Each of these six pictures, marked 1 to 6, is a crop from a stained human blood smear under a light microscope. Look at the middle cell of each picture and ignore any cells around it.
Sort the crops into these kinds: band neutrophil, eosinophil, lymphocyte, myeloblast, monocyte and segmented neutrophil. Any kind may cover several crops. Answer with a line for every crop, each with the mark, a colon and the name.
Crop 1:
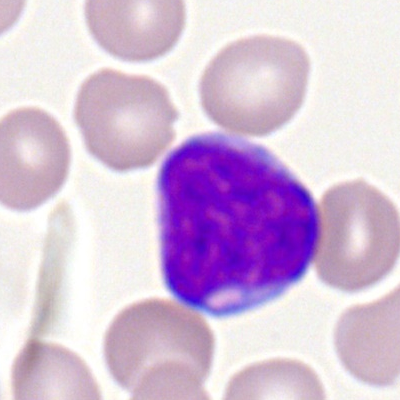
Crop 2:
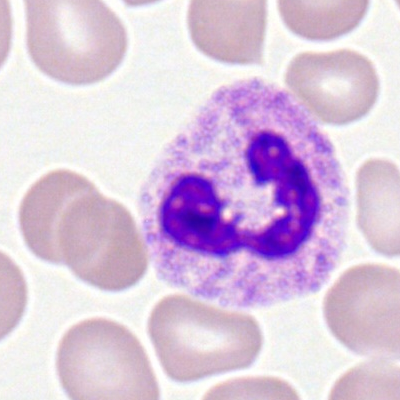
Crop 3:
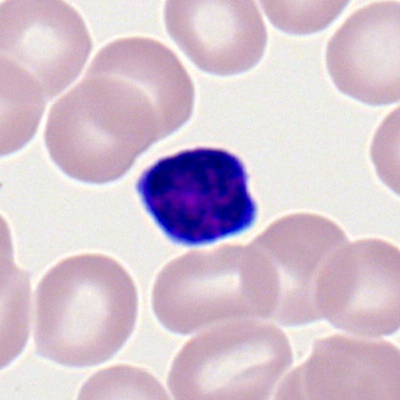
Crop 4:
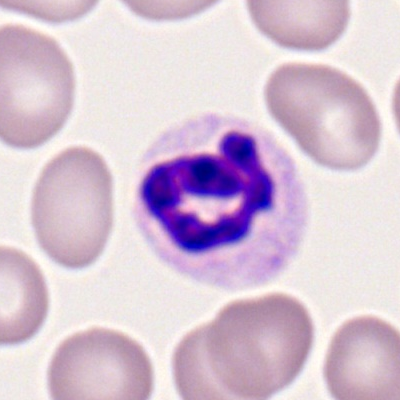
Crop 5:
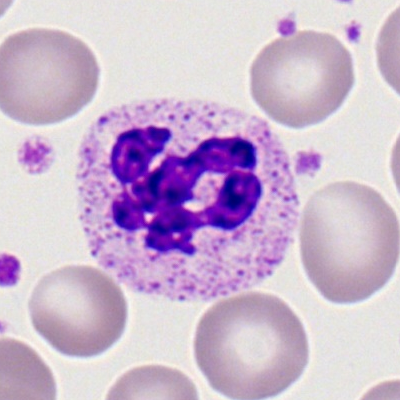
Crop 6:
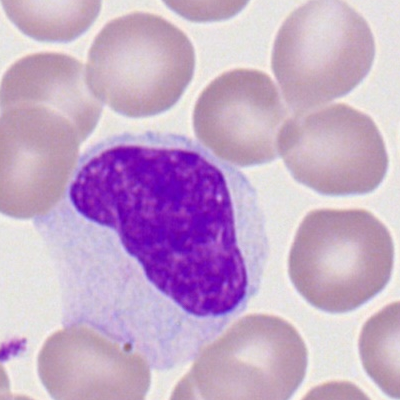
1: myeloblast
2: segmented neutrophil
3: lymphocyte
4: segmented neutrophil
5: segmented neutrophil
6: lymphocyte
